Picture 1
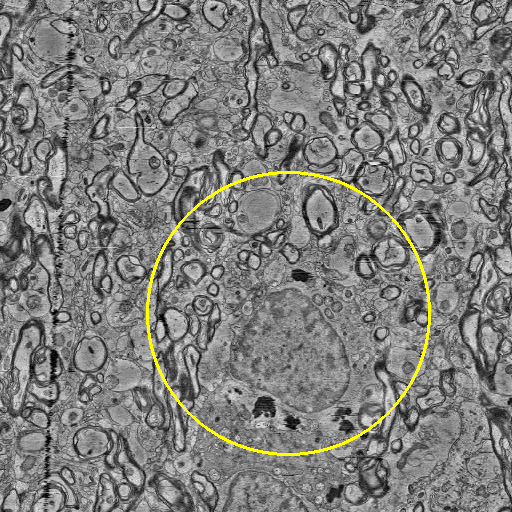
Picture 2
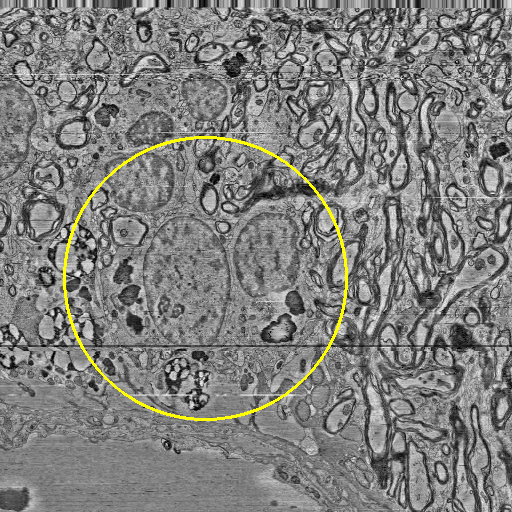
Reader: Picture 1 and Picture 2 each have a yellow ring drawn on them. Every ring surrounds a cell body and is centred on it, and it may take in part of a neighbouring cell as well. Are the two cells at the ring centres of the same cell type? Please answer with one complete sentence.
Yes, both cells are of the same cell type.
